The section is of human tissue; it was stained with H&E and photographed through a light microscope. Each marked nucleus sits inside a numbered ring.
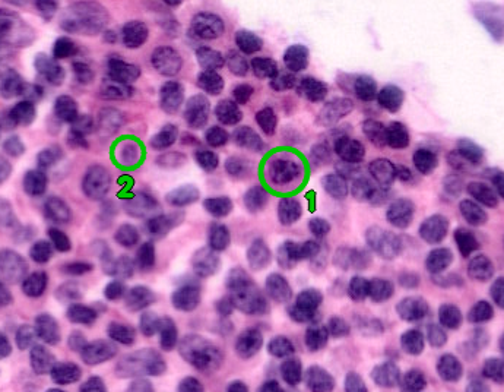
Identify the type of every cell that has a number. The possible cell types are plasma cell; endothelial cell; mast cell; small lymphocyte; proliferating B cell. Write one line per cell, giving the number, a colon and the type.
1: plasma cell
2: endothelial cell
